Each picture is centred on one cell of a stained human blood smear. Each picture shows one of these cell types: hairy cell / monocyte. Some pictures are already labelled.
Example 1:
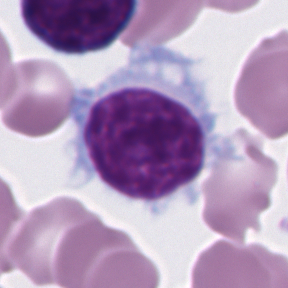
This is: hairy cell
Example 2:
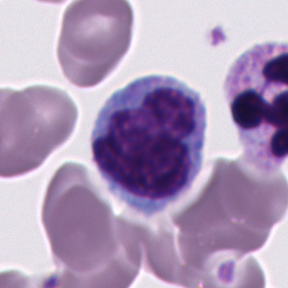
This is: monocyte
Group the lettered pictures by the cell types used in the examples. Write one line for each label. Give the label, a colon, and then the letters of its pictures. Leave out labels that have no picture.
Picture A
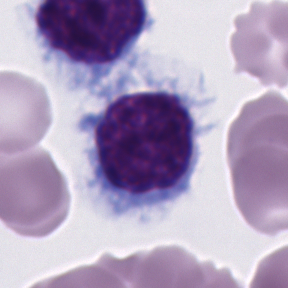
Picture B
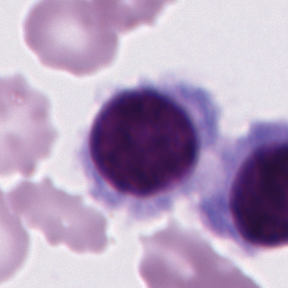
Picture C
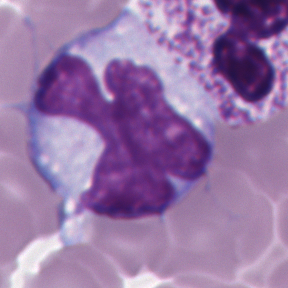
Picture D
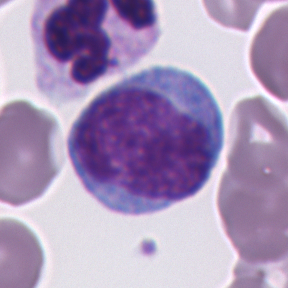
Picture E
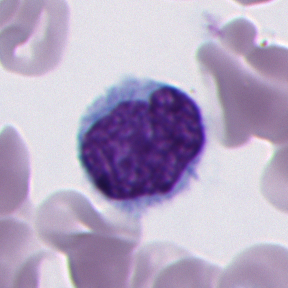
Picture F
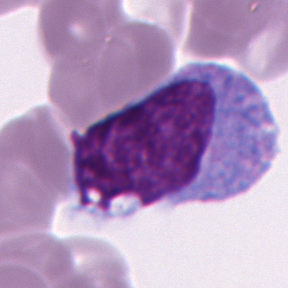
hairy cell: A, B
monocyte: C, D, E, F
